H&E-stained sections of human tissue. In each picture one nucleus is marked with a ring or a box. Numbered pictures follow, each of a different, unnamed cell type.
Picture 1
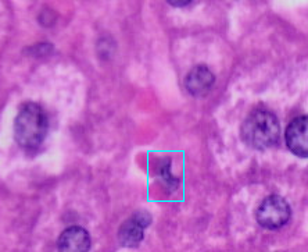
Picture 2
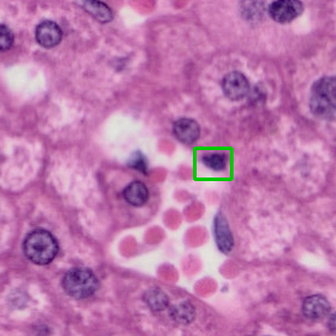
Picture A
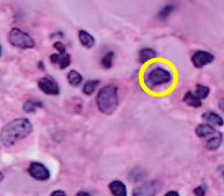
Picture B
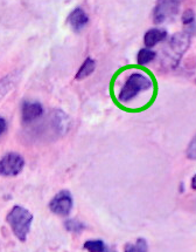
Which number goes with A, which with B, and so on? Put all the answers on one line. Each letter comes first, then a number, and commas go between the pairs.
A 2, B 2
